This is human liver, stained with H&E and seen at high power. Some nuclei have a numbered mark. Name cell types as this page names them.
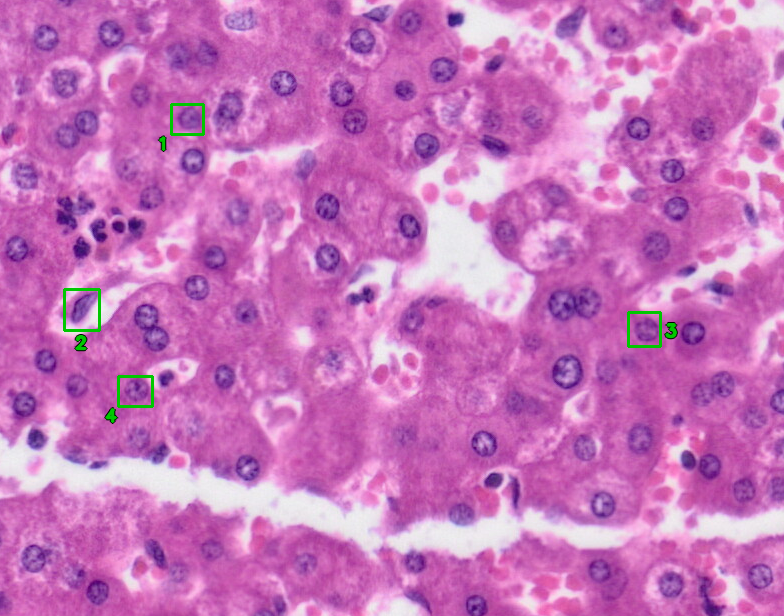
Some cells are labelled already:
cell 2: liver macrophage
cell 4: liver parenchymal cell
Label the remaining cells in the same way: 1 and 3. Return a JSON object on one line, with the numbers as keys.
{"1": "liver parenchymal cell", "3": "liver parenchymal cell"}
